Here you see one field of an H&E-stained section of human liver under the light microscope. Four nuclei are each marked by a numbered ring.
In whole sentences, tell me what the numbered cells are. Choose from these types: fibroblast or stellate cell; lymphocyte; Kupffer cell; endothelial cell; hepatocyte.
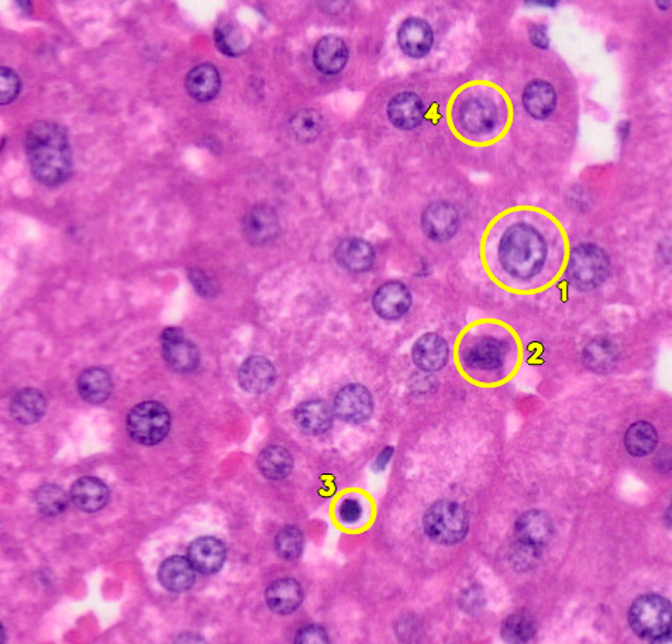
Cells 1 and 4 are hepatocytes. Cell 2 is a fibroblast or stellate cell. Cell 3 is a lymphocyte.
